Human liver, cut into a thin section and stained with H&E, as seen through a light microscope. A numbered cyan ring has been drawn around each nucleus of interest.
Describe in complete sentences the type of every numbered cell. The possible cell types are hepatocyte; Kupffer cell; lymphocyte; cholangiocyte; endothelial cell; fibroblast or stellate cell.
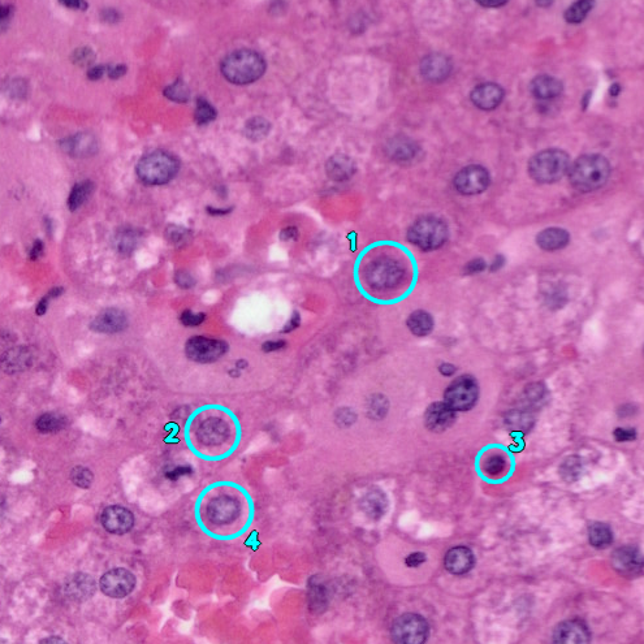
Cell 1 is a hepatocyte, cell 2 is a hepatocyte, cell 3 is a lymphocyte and cell 4 is a hepatocyte.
